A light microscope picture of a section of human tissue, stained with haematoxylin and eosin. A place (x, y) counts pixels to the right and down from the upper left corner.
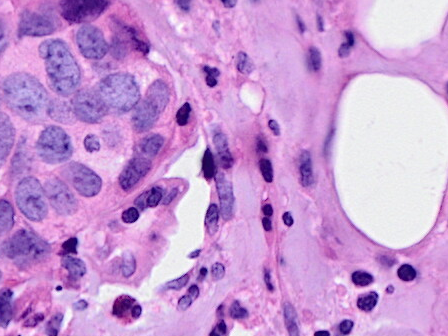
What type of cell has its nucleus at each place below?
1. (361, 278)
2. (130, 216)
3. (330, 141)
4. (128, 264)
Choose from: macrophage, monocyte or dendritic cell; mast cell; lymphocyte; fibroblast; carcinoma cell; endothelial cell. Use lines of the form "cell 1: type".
cell 1: lymphocyte
cell 2: lymphocyte
cell 3: fibroblast
cell 4: endothelial cell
